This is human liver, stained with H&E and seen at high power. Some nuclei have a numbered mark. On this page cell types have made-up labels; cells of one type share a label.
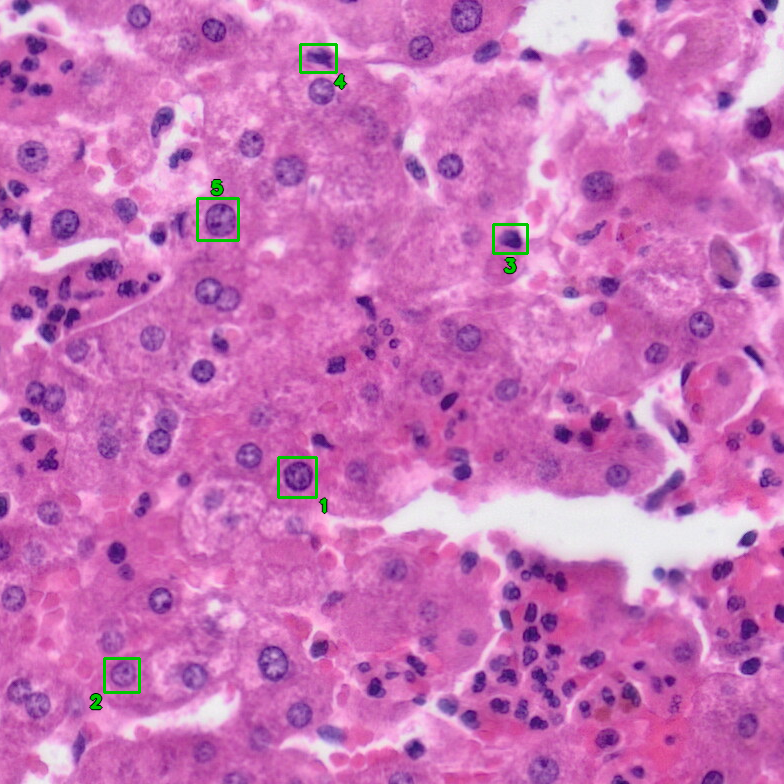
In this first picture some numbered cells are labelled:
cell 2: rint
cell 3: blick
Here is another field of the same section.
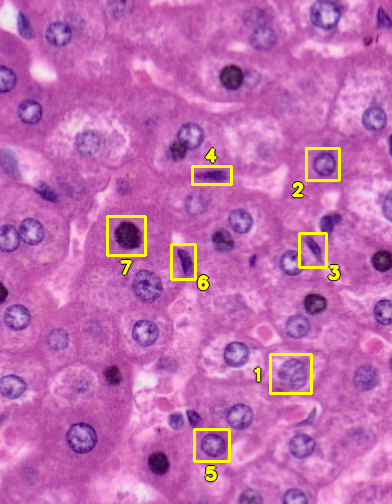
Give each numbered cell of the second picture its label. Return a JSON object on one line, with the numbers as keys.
{"1": "rint", "2": "rint", "3": "blick", "4": "blick", "5": "rint", "6": "blick", "7": "rint"}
